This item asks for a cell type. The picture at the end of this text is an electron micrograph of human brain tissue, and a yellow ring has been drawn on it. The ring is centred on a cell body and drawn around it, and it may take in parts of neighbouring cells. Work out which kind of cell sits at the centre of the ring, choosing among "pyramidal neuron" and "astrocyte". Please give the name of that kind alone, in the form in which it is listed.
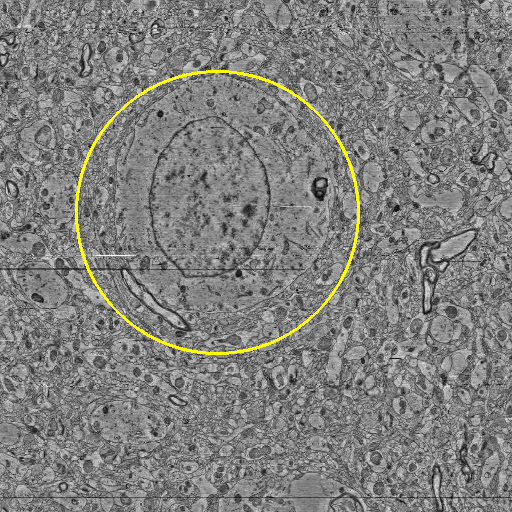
pyramidal neuron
